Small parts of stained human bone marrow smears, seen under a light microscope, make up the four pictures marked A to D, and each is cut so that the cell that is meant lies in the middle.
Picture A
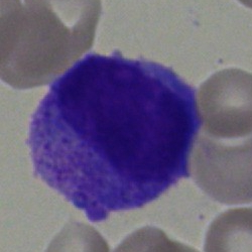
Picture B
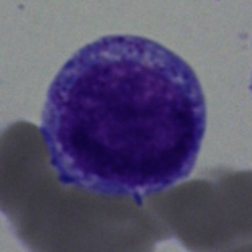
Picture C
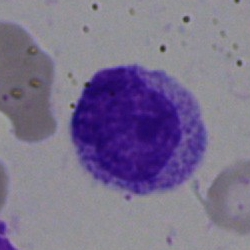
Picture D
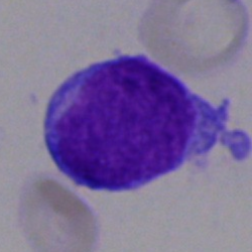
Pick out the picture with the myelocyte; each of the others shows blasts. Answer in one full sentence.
The picture with the myelocyte is C.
